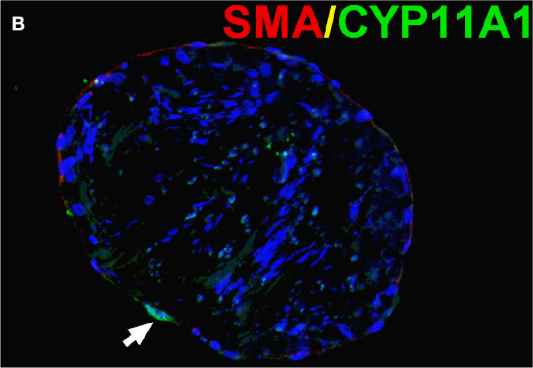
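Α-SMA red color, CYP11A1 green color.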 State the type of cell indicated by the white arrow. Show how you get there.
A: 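Leydig cells. The arrow points to a small green cell at the outer edge of the tubule. The green cell lies at the thin red rim rather than inside the tubule.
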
